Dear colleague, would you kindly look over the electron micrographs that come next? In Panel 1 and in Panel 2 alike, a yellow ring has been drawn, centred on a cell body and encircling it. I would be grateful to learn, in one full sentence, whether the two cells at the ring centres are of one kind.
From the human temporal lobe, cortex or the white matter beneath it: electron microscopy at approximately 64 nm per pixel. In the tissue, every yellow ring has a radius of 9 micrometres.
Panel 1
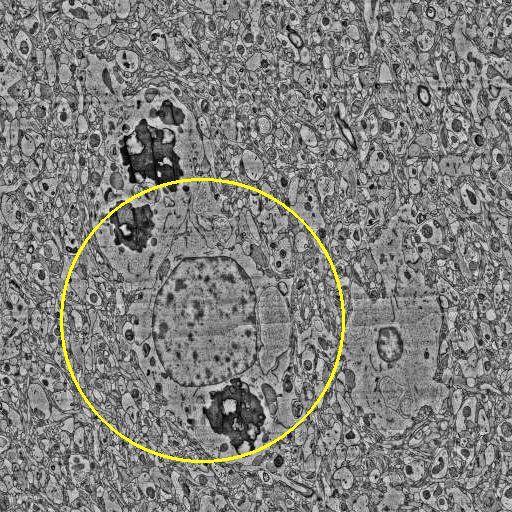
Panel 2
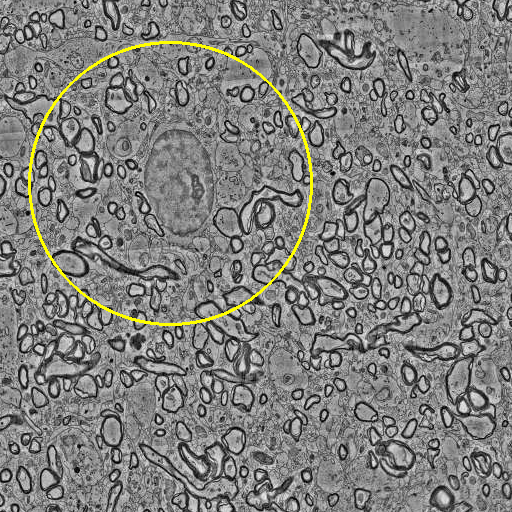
No, the cells in the middle of the rings in the two panels are of two kinds.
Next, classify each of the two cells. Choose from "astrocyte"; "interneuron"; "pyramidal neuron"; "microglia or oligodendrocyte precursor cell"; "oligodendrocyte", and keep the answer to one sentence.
In the first picture it is an astrocyte; in the second it is an oligodendrocyte.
